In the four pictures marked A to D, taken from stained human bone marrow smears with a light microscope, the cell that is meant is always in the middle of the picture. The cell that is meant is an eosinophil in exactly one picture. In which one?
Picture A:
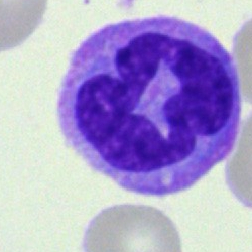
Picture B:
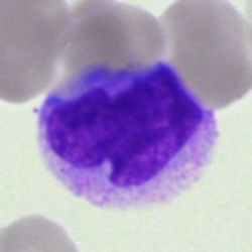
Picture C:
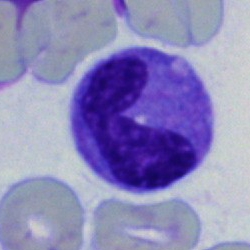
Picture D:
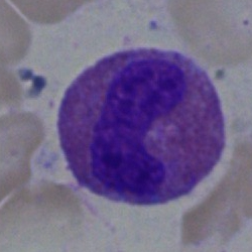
D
